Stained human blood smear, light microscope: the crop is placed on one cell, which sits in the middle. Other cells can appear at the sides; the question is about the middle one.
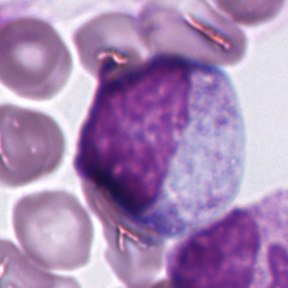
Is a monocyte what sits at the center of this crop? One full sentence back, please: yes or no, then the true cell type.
No, the middle one is a myelocyte rather than a monocyte.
